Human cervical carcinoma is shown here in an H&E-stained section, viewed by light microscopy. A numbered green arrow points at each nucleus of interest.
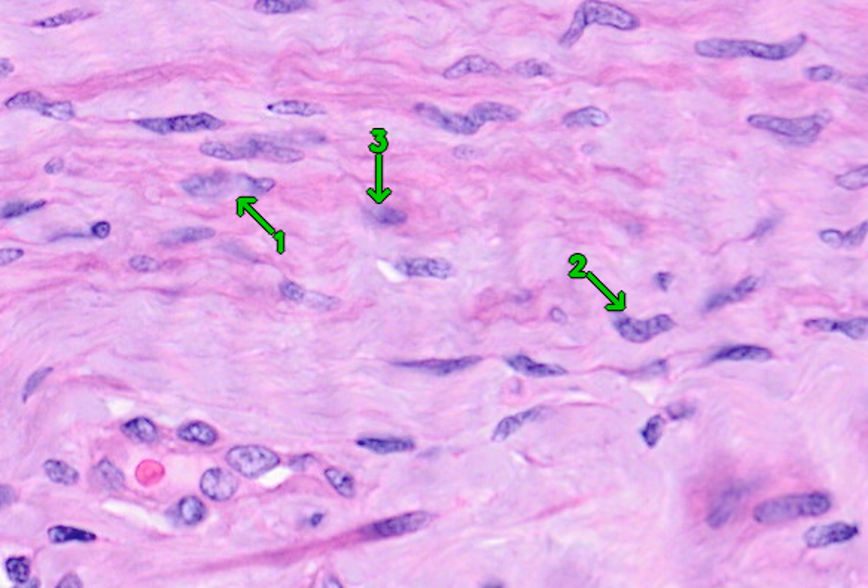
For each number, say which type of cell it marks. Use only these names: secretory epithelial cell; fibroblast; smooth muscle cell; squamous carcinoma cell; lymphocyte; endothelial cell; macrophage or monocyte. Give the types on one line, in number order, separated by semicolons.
smooth muscle cell; fibroblast; smooth muscle cell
